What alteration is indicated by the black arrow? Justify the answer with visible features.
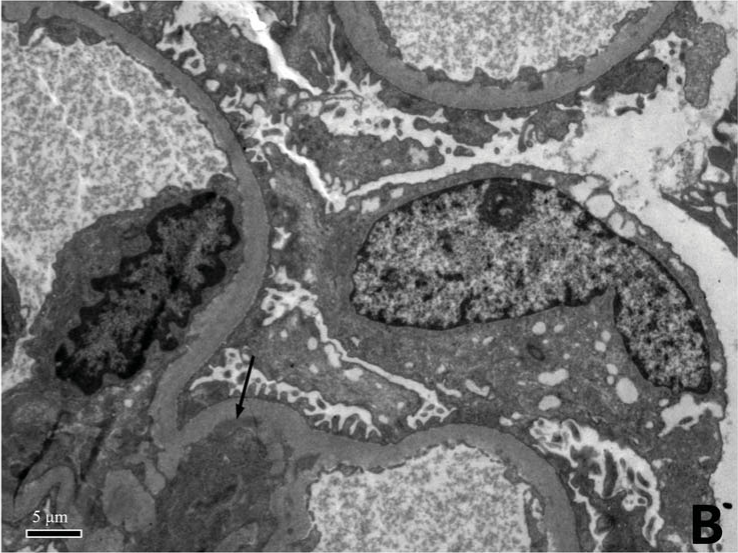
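The arrow points to dark material in the cellular stalk between rounded lumens. The marked area lies where the thick grey walls of neighbouring lumens meet.
Conclusion: Mesangial electron-dense deposits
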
